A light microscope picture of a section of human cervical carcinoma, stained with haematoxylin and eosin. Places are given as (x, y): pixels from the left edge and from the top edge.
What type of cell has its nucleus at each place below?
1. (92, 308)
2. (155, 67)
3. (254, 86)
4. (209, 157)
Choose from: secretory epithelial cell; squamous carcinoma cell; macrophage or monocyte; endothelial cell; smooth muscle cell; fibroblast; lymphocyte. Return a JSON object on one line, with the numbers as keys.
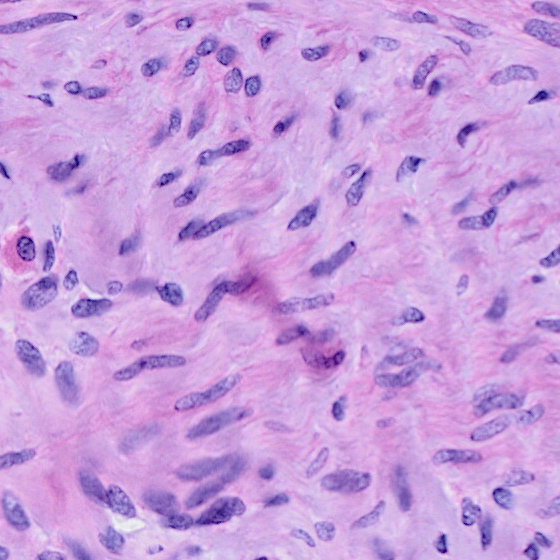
{"1": "fibroblast", "2": "smooth muscle cell", "3": "smooth muscle cell", "4": "smooth muscle cell"}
